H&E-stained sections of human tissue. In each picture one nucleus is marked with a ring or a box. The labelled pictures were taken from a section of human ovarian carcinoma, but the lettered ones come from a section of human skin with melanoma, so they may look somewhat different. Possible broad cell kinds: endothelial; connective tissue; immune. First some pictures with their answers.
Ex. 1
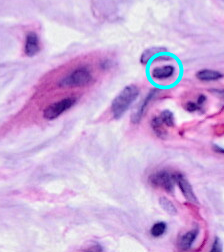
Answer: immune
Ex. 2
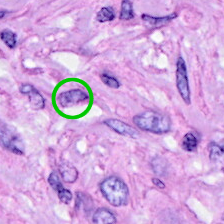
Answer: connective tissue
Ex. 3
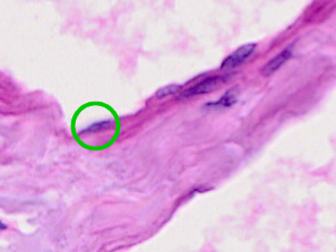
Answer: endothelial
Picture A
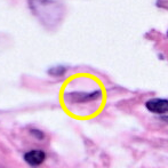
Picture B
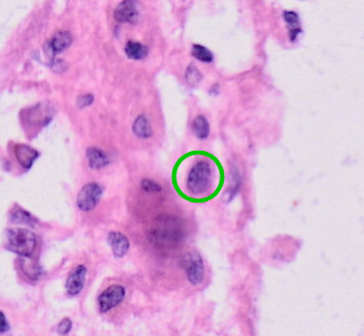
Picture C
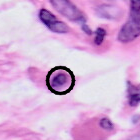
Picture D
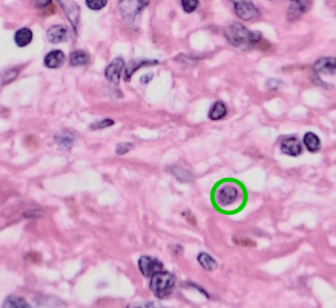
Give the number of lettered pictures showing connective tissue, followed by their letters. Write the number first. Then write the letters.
1, namely A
